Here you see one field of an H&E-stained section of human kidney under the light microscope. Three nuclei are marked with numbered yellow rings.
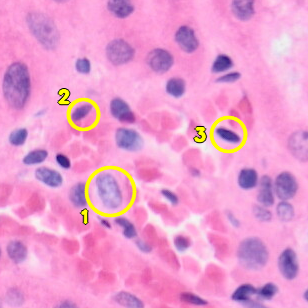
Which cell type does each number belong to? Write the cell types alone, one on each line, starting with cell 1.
collecting duct cell
endothelial cell
endothelial cell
